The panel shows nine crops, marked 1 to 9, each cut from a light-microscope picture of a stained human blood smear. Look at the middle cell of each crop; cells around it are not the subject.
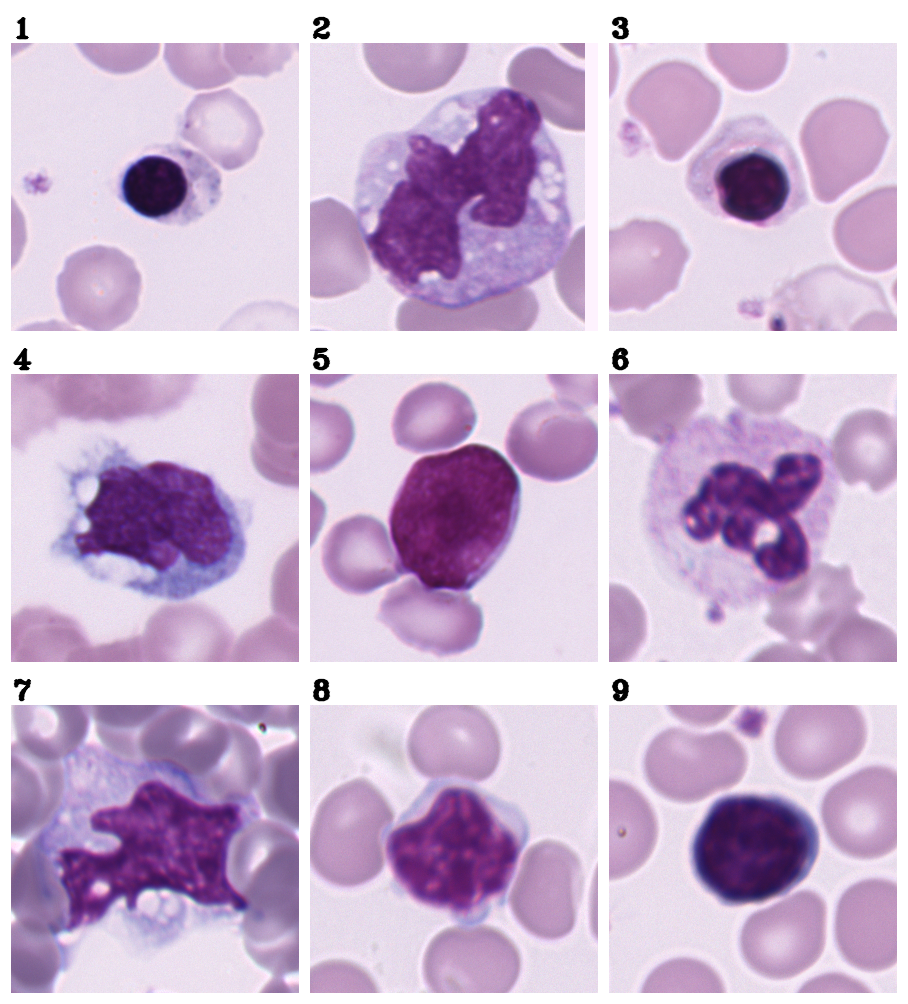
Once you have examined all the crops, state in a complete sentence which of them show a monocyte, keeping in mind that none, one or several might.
It is crops 2, 4 and 7 that show monocytes.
